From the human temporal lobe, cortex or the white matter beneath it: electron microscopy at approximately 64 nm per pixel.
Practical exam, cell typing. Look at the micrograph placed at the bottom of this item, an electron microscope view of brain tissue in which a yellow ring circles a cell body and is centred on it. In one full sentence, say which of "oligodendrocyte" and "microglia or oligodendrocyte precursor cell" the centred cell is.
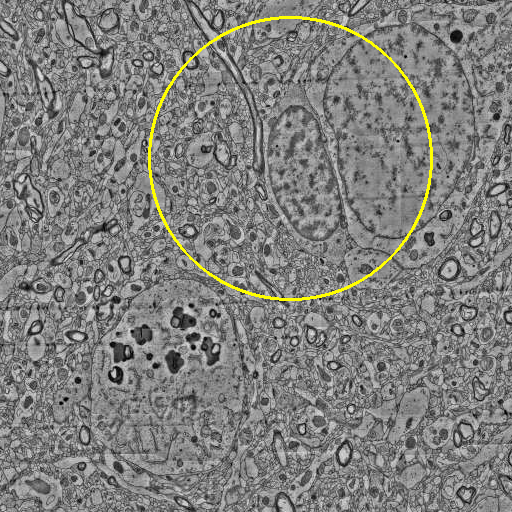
Given the options, an oligodendrocyte fits the cell whose body the yellow ring is centred on.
